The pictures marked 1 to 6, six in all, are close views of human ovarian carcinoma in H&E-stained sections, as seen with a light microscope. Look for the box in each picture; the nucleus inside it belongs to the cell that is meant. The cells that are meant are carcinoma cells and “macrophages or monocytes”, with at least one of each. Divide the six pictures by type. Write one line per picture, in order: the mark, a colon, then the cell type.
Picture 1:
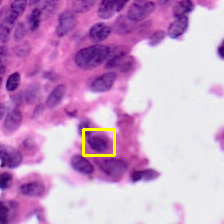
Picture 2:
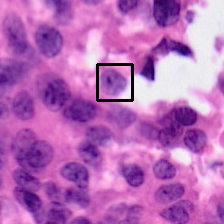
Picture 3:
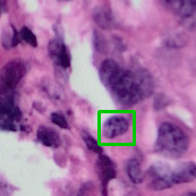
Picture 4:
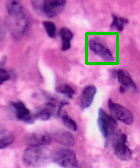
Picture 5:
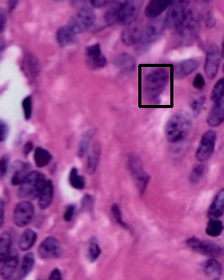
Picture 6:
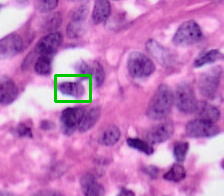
1: carcinoma cell
2: macrophage or monocyte
3: macrophage or monocyte
4: macrophage or monocyte
5: carcinoma cell
6: carcinoma cell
